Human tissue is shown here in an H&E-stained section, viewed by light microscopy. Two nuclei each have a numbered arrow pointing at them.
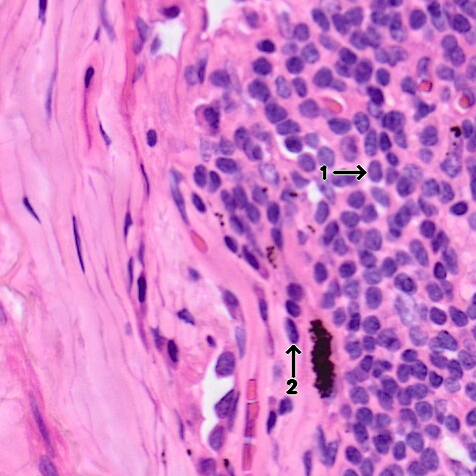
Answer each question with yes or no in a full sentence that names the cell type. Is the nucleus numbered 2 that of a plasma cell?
Yes, the cell whose number is 2 is a plasma cell.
